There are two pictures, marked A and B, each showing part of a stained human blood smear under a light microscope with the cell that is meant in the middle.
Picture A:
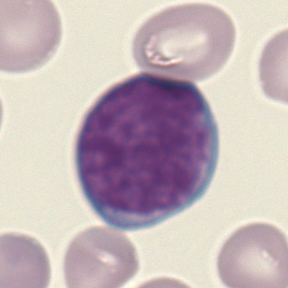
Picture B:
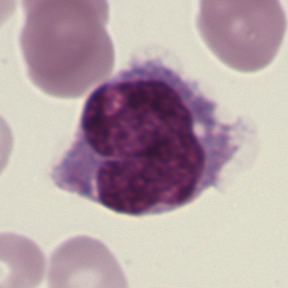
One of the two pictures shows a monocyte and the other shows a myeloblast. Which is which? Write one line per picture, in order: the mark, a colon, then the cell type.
A: myeloblast
B: monocyte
